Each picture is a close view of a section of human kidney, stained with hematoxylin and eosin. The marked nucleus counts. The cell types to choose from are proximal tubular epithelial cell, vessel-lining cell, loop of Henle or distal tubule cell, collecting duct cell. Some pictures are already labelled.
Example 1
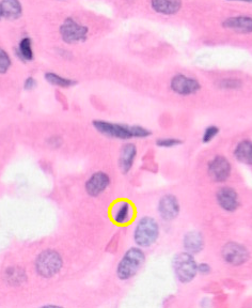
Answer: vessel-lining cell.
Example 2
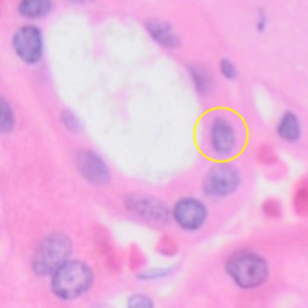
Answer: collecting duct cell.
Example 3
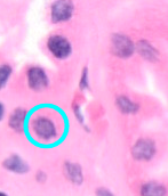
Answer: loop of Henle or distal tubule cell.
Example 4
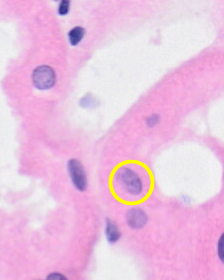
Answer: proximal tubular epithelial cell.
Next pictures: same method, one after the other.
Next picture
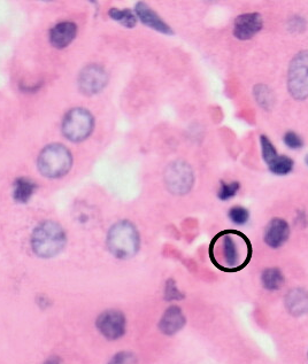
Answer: vessel-lining cell.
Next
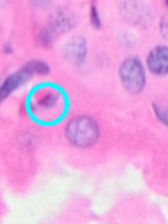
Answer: vessel-lining cell.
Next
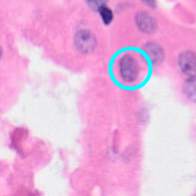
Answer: loop of Henle or distal tubule cell.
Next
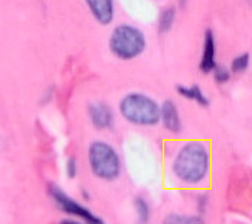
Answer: collecting duct cell.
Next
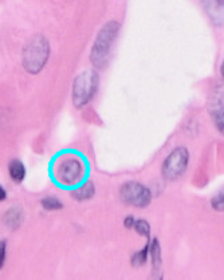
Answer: collecting duct cell.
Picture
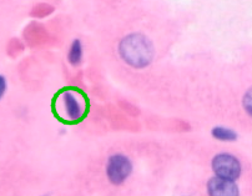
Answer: vessel-lining cell.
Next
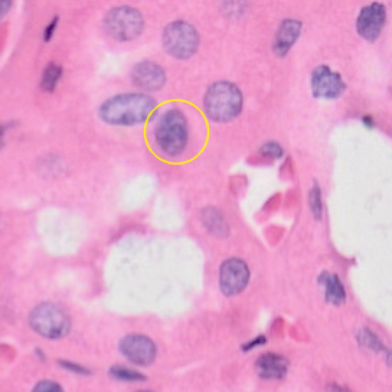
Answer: proximal tubular epithelial cell.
